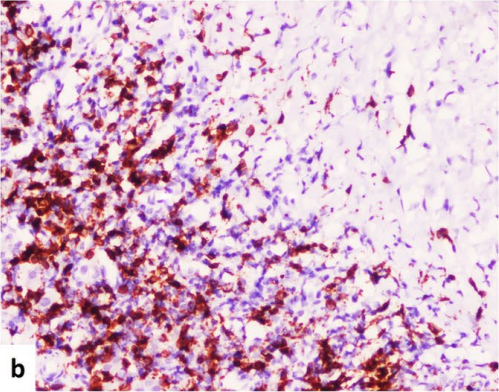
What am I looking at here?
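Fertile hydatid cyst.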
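The stained cells are small, rounded to irregular, some with short processes, and lie among numerous unstained cells with small blue-purple nuclei. The density of brown cells falls off toward the upper right, where a pale, loose fibrous stroma holds scattered spindle-shaped nuclei and only isolated brown cells. Small clear spaces and vessel-like lumens are scattered through the cellular area.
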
